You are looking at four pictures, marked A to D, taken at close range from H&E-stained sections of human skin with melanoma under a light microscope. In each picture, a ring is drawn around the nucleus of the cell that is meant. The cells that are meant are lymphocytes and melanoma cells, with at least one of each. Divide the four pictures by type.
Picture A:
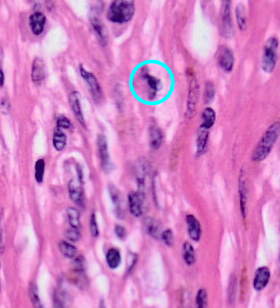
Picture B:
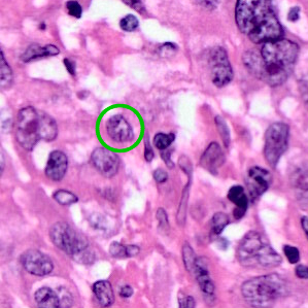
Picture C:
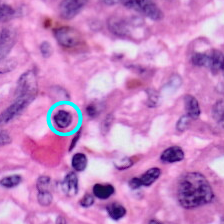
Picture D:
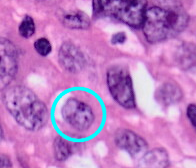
A: lymphocyte
B: melanoma cell
C: lymphocyte
D: melanoma cell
